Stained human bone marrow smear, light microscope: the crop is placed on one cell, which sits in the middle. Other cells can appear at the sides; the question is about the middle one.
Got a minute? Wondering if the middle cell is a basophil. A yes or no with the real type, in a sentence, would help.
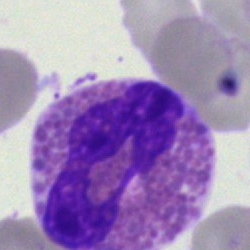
No, instead of being a basophil, the middle cell is an eosinophil.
